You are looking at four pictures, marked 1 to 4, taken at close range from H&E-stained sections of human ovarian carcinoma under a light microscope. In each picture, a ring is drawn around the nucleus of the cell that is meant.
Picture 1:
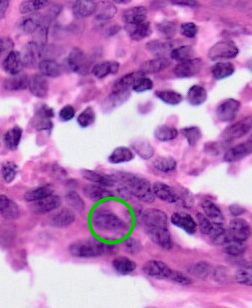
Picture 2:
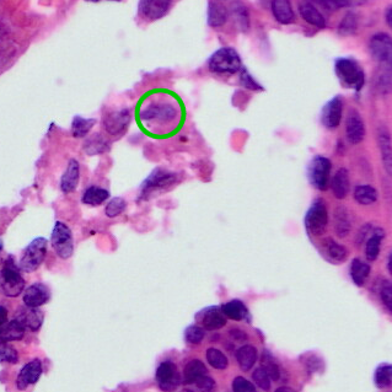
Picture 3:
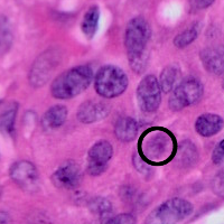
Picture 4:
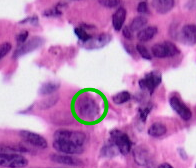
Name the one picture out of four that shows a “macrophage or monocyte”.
2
